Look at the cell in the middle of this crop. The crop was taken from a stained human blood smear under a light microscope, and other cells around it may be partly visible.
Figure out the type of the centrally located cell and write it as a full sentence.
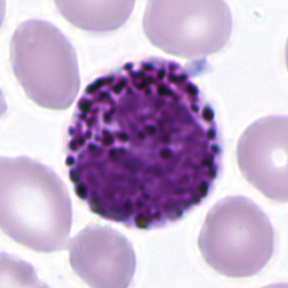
Here the centrally located cell is a basophil.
